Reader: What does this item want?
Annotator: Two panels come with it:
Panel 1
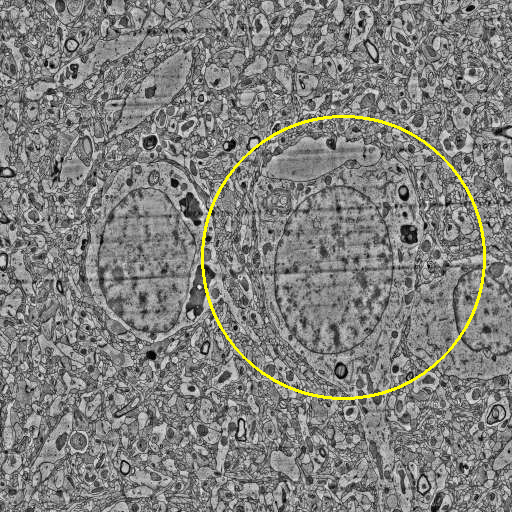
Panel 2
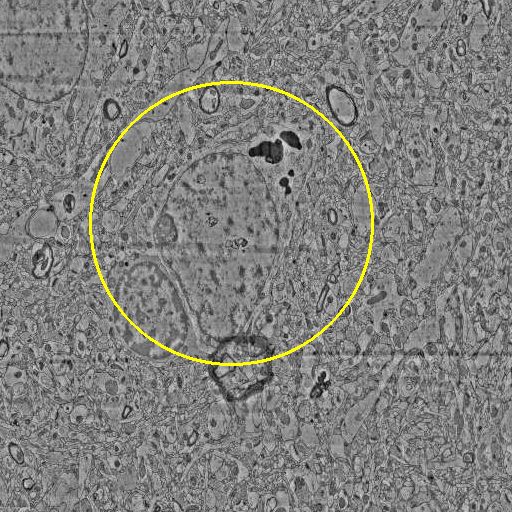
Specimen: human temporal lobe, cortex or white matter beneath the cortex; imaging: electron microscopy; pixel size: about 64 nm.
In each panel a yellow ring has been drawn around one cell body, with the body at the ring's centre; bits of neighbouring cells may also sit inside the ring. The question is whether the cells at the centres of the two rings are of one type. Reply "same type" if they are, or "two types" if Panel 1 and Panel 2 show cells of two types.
two types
